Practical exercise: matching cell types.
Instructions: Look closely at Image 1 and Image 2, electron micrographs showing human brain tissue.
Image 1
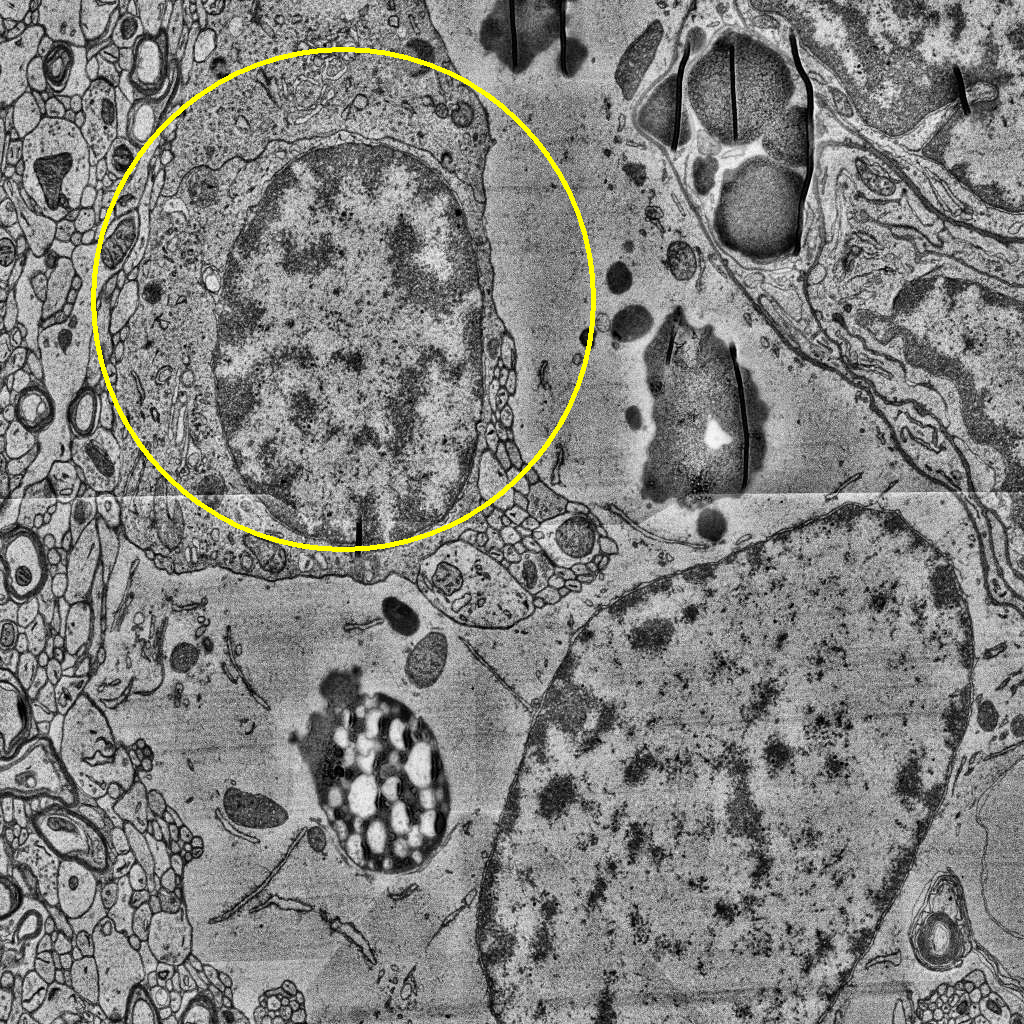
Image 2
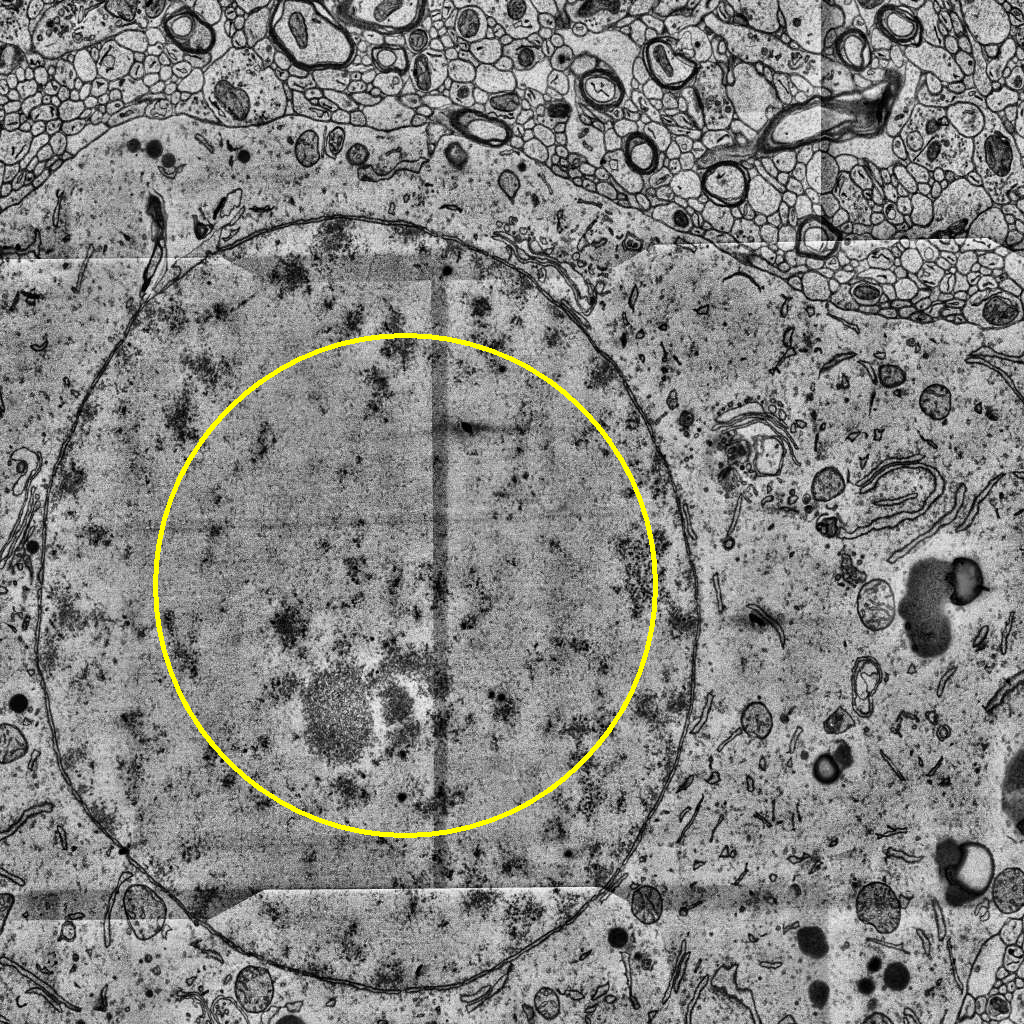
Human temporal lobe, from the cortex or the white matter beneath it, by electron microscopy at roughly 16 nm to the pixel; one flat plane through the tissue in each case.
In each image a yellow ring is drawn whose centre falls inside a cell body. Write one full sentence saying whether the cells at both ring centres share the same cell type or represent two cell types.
Across Image 1 and Image 2, the cells at the ring centres represent two cell types.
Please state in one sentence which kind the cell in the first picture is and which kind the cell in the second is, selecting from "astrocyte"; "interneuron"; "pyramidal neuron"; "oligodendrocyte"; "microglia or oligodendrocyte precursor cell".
The first picture has an oligodendrocyte in its ring, the second has a pyramidal neuron.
